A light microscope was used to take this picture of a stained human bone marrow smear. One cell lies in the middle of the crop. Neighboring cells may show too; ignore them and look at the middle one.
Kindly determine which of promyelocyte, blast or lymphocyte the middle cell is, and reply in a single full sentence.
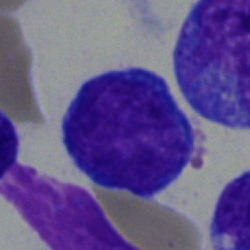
The cell of interest, in the center, is a blast.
